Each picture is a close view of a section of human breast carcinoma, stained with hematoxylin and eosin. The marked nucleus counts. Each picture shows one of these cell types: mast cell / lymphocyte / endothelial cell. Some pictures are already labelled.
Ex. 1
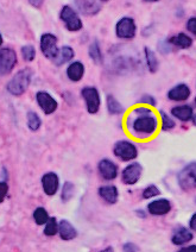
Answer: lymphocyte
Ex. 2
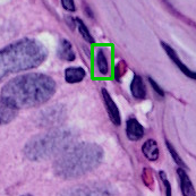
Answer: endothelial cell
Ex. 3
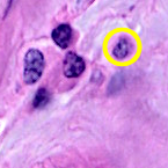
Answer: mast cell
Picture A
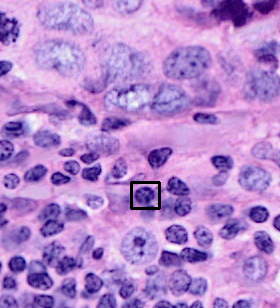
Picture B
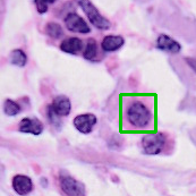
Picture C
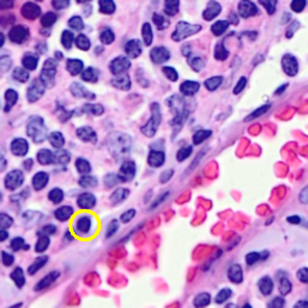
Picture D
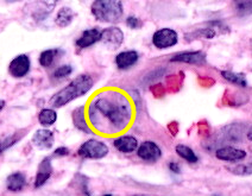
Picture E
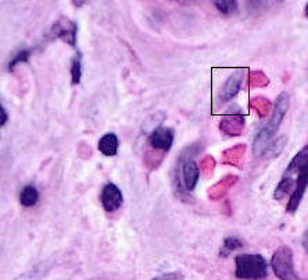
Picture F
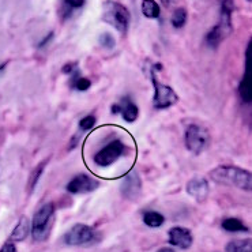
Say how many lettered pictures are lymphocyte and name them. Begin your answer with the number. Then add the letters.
3, namely A, C, F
